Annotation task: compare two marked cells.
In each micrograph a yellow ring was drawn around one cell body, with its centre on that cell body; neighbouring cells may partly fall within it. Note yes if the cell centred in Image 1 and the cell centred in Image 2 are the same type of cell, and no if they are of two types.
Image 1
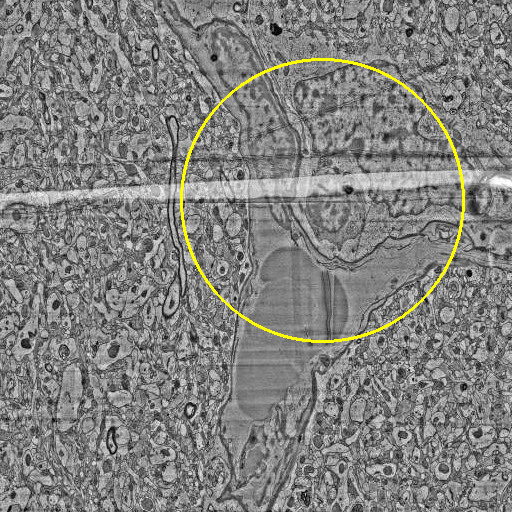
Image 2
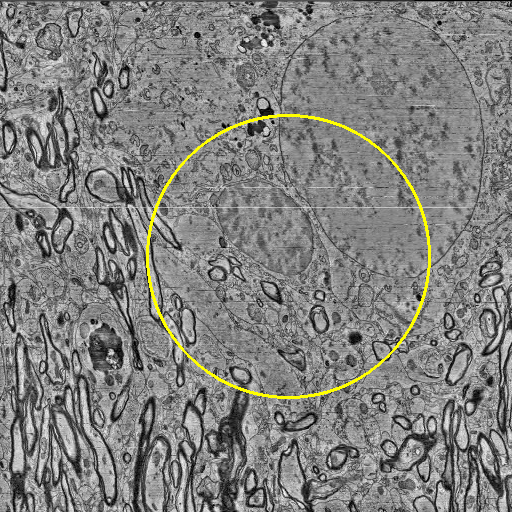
yes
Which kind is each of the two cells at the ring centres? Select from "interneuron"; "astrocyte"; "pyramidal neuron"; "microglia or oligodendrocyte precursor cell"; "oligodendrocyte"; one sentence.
Each cell, in the first picture and the second, is an oligodendrocyte.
